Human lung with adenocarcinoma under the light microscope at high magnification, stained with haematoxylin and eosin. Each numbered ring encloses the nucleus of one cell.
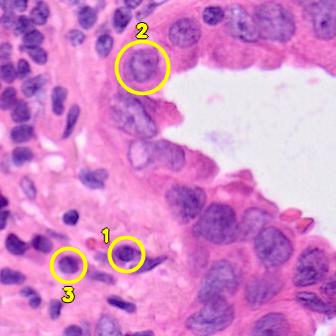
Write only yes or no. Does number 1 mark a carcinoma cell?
no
